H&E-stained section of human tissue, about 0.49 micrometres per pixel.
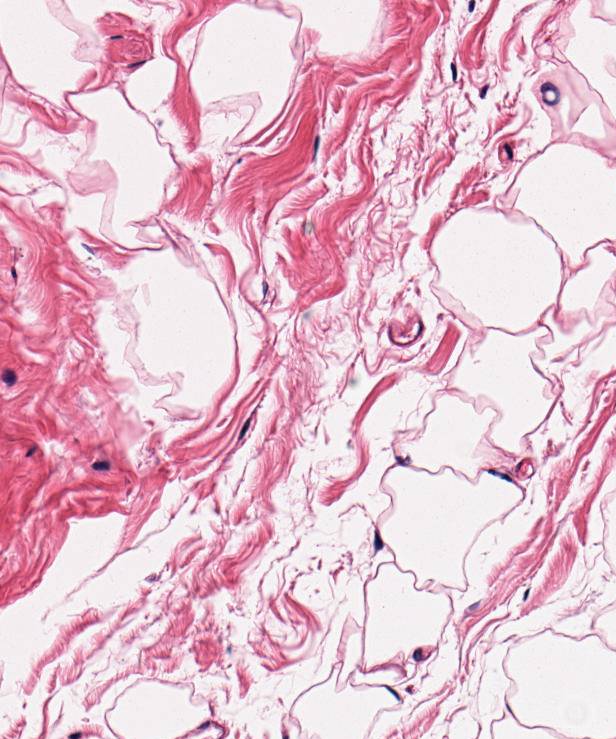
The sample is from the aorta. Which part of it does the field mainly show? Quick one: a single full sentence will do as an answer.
It is tunica adventitia that this tissue section depicts.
